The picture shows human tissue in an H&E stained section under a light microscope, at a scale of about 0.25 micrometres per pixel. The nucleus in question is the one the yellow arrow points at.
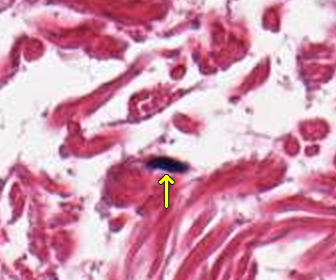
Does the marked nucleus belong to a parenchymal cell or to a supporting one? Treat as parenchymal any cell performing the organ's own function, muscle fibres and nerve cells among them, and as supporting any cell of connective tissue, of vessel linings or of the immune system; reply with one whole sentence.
In this section, a supporting cell is the cell with the marked nucleus.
